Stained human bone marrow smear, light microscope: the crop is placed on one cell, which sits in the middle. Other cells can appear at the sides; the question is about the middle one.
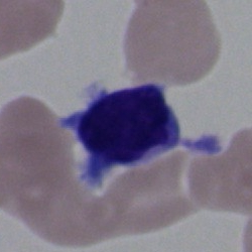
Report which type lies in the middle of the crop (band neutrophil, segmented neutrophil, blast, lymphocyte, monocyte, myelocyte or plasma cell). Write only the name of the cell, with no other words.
lymphocyte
